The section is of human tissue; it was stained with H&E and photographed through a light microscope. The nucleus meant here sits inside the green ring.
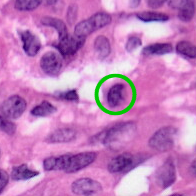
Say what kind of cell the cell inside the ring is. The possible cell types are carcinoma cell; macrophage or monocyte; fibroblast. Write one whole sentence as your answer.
Histopathologically, the cell inside the ring is a macrophage or monocyte.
